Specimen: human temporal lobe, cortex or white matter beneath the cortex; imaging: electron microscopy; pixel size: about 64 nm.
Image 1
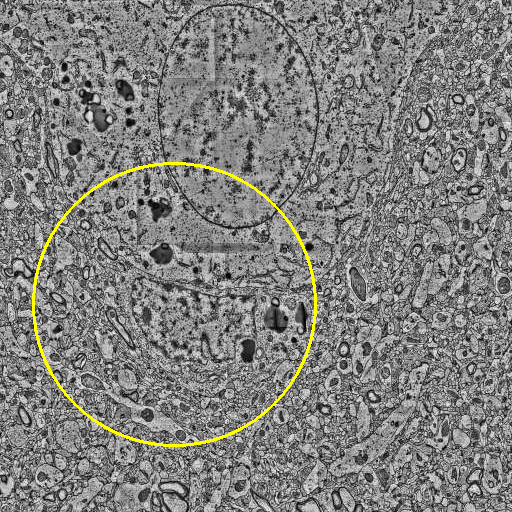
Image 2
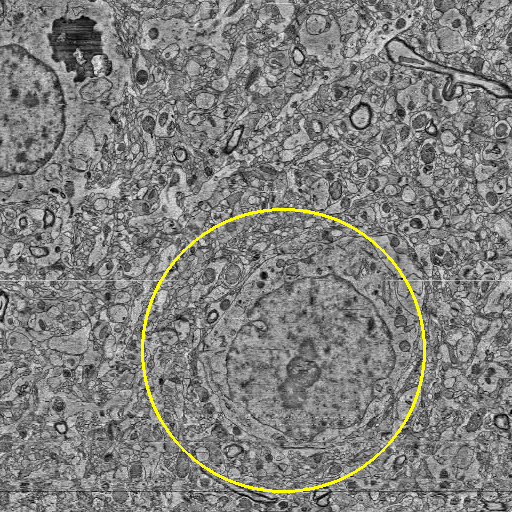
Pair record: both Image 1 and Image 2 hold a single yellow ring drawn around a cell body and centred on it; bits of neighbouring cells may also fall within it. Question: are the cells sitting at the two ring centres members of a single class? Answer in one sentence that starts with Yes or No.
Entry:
Yes, both ring-centre cells in Image 1 and Image 2 are members of one class.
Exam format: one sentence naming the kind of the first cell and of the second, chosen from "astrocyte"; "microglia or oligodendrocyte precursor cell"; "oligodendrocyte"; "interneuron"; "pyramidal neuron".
The cell in the first picture is an interneuron, and so is the one in the second.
